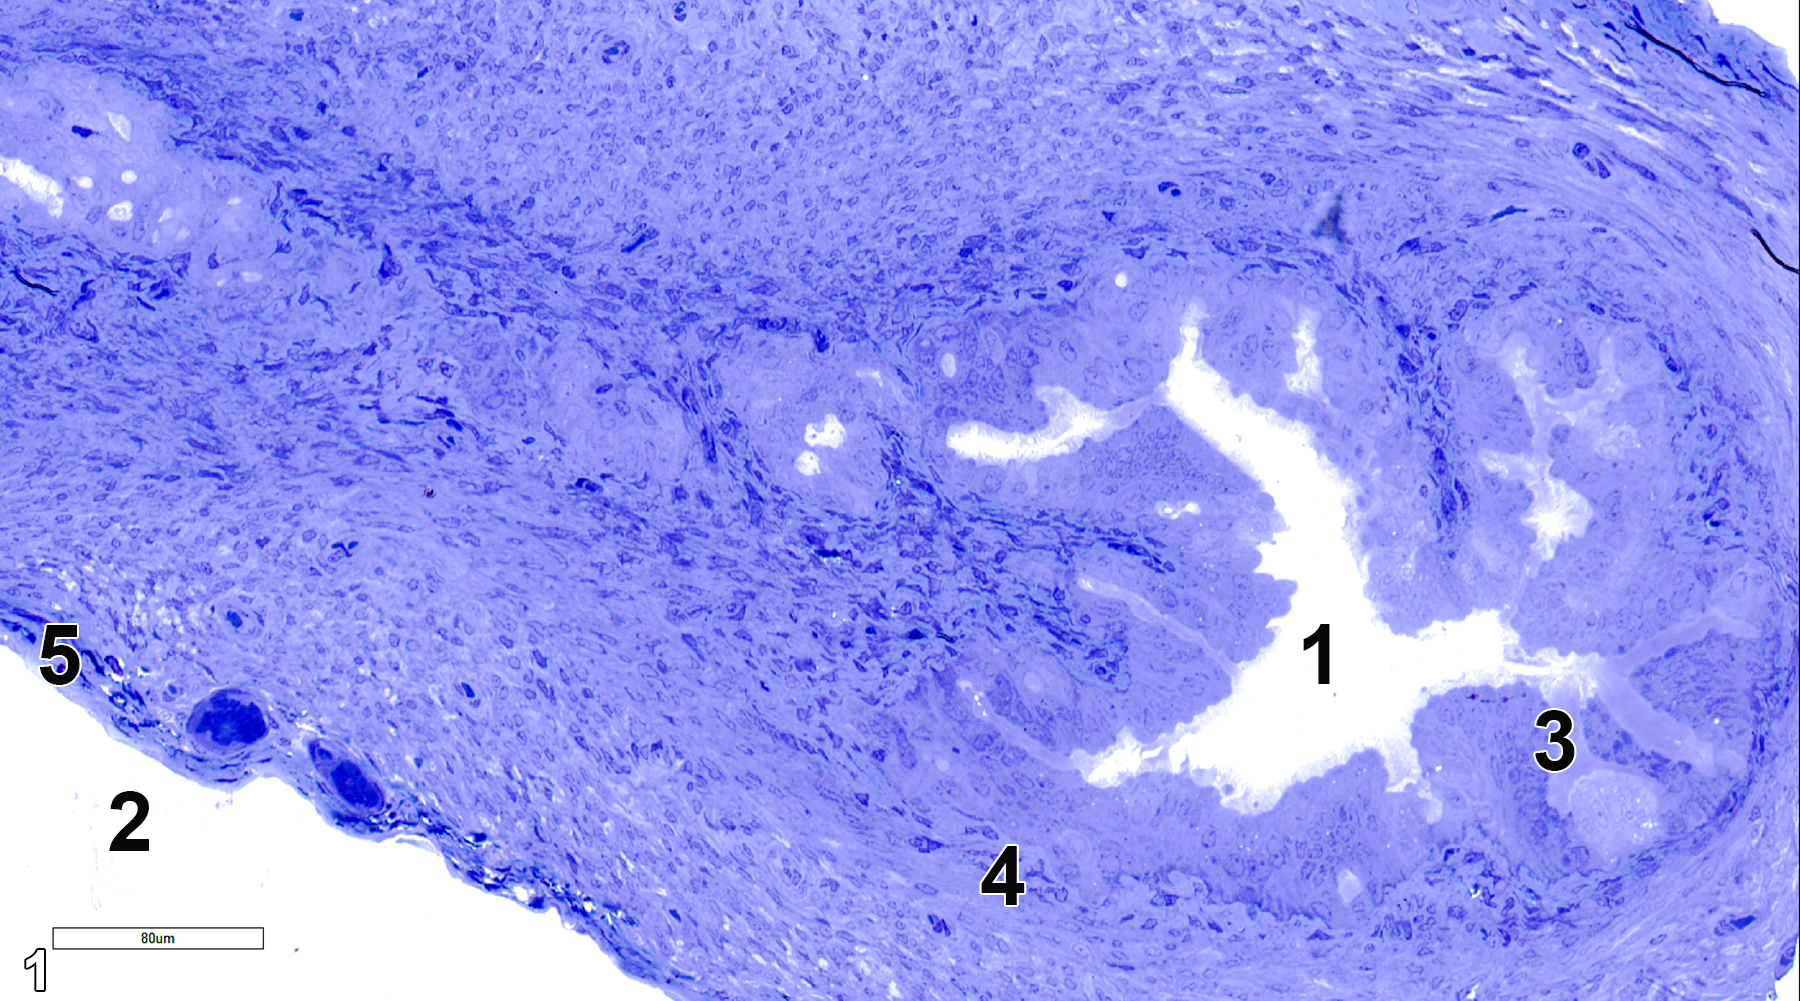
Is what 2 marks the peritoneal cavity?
Yes.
